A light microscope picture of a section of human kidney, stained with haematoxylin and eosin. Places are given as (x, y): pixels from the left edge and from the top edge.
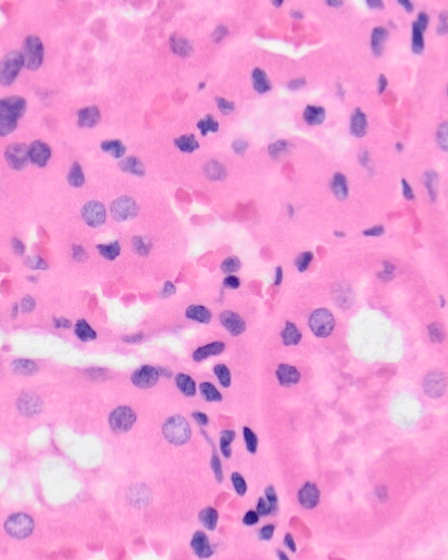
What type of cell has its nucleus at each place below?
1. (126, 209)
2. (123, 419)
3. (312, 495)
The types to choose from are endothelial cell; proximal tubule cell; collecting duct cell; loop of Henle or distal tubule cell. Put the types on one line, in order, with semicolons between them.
loop of Henle or distal tubule cell; proximal tubule cell; proximal tubule cell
